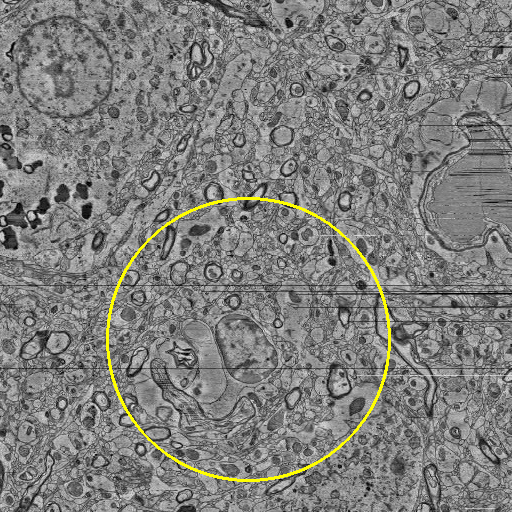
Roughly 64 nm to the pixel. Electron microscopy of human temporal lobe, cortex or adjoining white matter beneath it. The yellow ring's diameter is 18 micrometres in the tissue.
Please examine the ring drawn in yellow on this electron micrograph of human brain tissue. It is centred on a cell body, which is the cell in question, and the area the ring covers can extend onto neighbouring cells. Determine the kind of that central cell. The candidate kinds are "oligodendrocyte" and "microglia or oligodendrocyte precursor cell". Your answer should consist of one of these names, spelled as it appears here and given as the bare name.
microglia or oligodendrocyte precursor cell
